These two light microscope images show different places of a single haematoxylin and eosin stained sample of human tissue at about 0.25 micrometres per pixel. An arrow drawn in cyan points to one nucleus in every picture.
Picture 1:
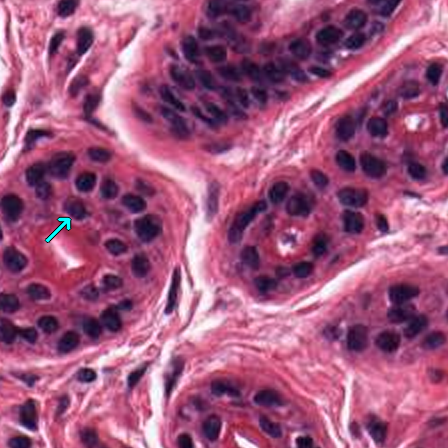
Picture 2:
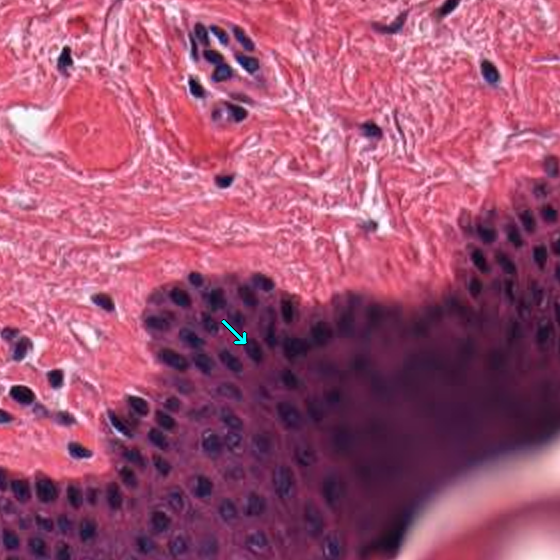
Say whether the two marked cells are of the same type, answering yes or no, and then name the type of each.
No, the first is a sweat gland cell and the second a keratinocyte.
